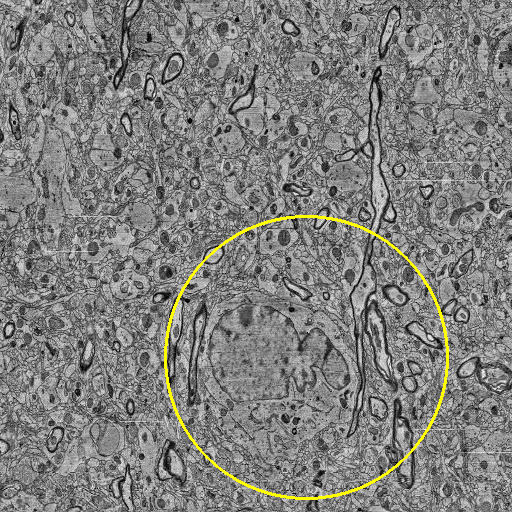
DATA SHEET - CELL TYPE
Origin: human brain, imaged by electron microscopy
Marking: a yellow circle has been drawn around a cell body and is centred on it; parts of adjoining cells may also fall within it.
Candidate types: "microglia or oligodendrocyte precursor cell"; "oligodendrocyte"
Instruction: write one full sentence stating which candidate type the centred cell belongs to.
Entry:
The cell body at the centre of the yellow ring in this micrograph belongs to a microglial cell or oligodendrocyte precursor cell.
